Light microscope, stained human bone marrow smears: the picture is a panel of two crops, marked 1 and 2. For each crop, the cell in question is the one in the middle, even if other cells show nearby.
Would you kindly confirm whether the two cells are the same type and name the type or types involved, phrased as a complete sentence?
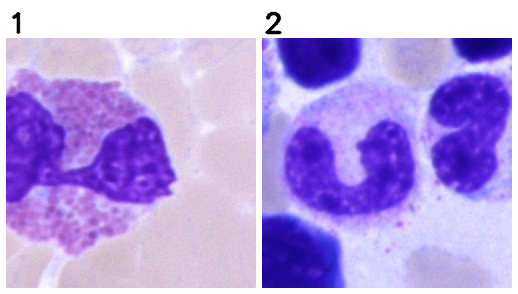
No, an eosinophil and a band neutrophil are found in crop 1 and crop 2, respectively.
